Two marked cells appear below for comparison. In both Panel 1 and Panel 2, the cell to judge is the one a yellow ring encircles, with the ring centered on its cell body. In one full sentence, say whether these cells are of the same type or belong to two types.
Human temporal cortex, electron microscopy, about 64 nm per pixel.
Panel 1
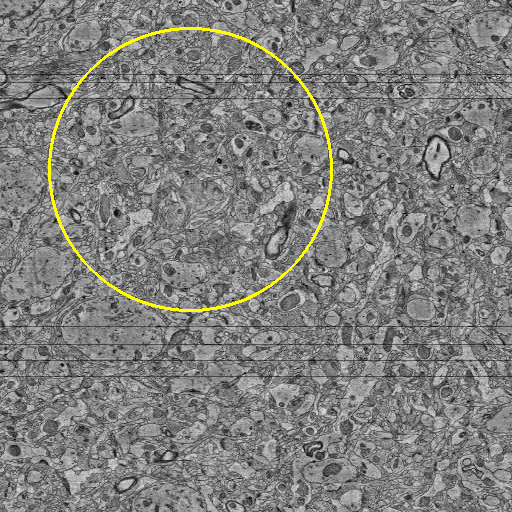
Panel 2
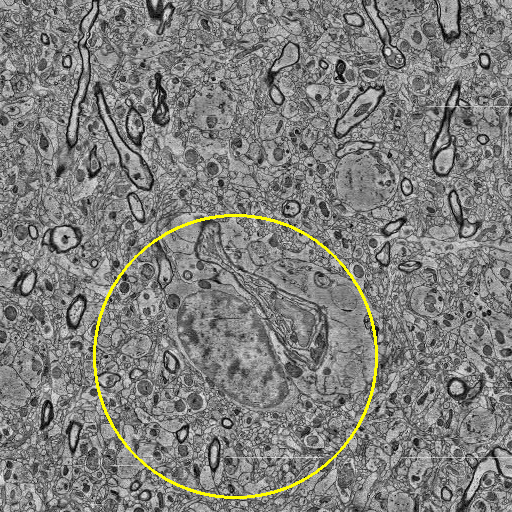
The cell centered in the Panel 1 ring and the one in Panel 2 are of the same type.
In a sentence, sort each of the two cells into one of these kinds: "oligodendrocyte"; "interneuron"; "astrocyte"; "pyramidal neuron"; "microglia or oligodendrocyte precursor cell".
Each of the ringed cells, first and second, is an oligodendrocyte.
